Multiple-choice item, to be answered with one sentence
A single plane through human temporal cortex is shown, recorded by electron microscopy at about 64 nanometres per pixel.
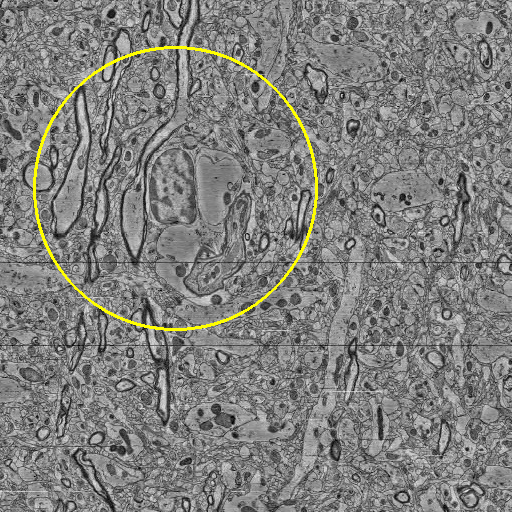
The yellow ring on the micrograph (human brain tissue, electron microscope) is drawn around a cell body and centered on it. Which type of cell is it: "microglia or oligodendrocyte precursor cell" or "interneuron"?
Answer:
The ring is centered on a microglial cell or oligodendrocyte precursor cell.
